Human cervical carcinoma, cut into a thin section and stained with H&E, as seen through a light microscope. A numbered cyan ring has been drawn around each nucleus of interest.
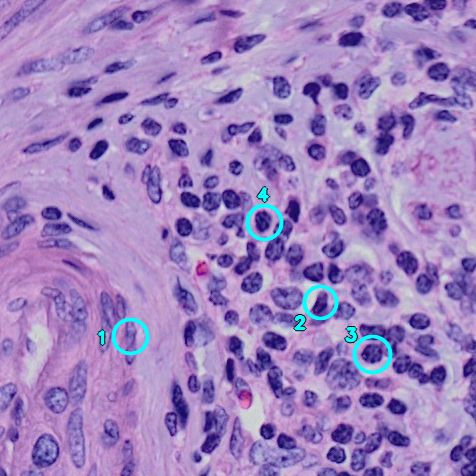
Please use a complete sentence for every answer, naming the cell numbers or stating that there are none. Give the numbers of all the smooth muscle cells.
Only number 1 of the marked cells is a smooth muscle cell.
